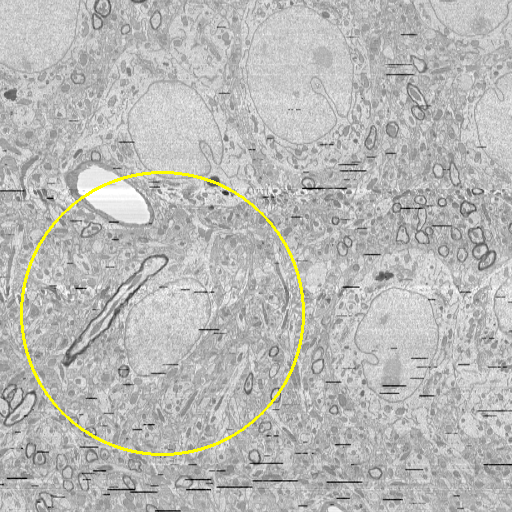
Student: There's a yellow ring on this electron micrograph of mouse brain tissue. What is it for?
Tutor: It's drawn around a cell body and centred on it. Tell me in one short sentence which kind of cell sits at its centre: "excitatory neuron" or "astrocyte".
The cell at the centre of the ring is an astrocyte.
